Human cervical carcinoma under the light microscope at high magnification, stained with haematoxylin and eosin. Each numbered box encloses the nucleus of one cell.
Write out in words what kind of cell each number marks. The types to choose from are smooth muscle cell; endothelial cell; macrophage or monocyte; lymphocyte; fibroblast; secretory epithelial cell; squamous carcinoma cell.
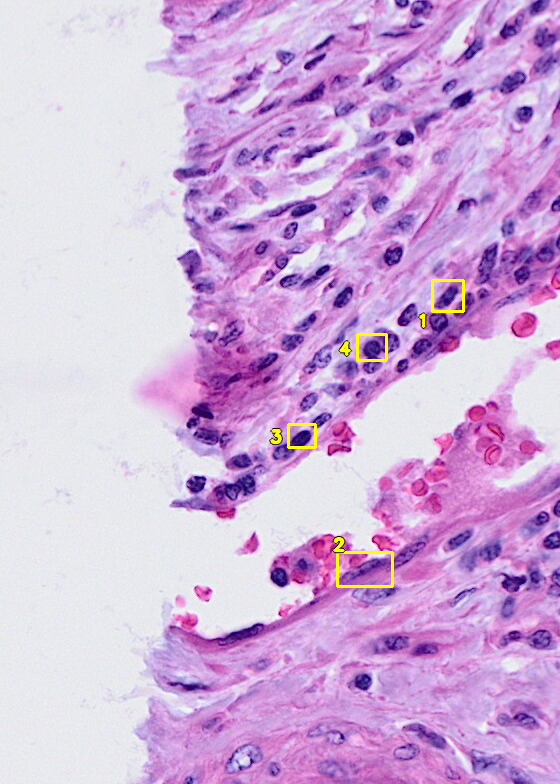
Cells 1, 3 and 4 are lymphocytes. Cell 2 is an endothelial cell.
